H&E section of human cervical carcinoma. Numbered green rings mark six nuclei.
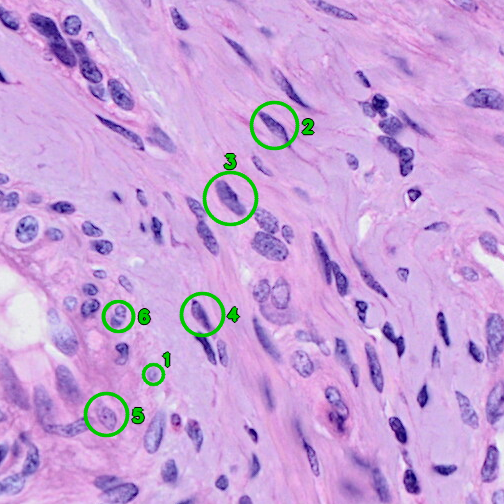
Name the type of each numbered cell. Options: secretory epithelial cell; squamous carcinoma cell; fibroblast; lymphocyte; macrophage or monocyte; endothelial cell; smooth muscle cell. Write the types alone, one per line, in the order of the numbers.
smooth muscle cell
fibroblast
fibroblast
fibroblast
smooth muscle cell
smooth muscle cell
